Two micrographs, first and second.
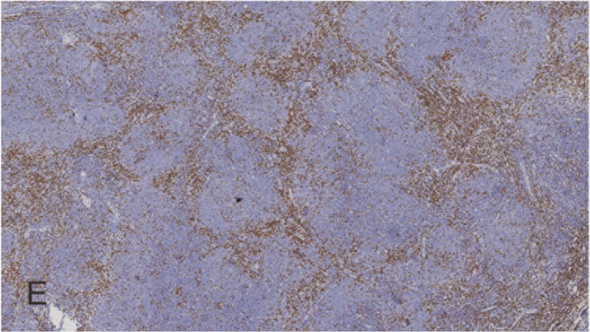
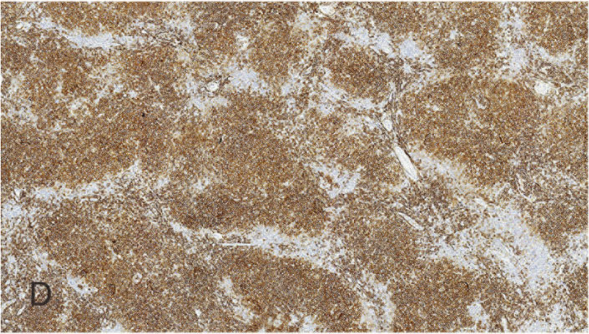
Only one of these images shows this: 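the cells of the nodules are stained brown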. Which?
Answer: The second image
